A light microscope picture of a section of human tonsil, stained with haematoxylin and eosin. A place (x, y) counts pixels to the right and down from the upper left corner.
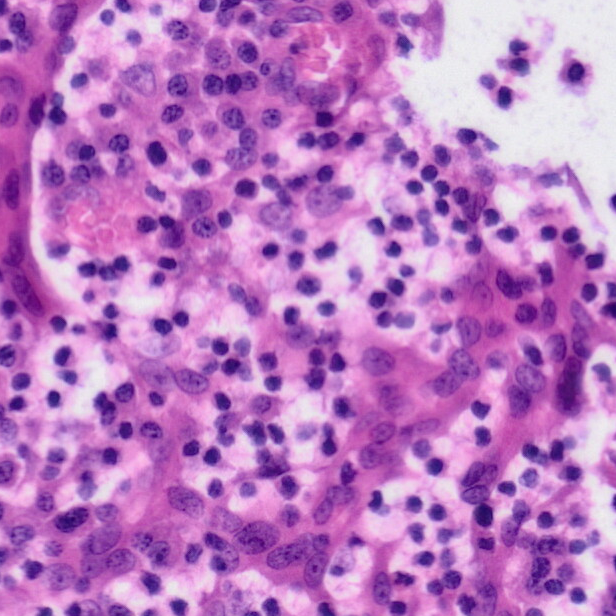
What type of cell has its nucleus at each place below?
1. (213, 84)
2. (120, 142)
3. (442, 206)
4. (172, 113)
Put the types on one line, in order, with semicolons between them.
plasma cell; plasma cell; small lymphocyte; plasma cell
